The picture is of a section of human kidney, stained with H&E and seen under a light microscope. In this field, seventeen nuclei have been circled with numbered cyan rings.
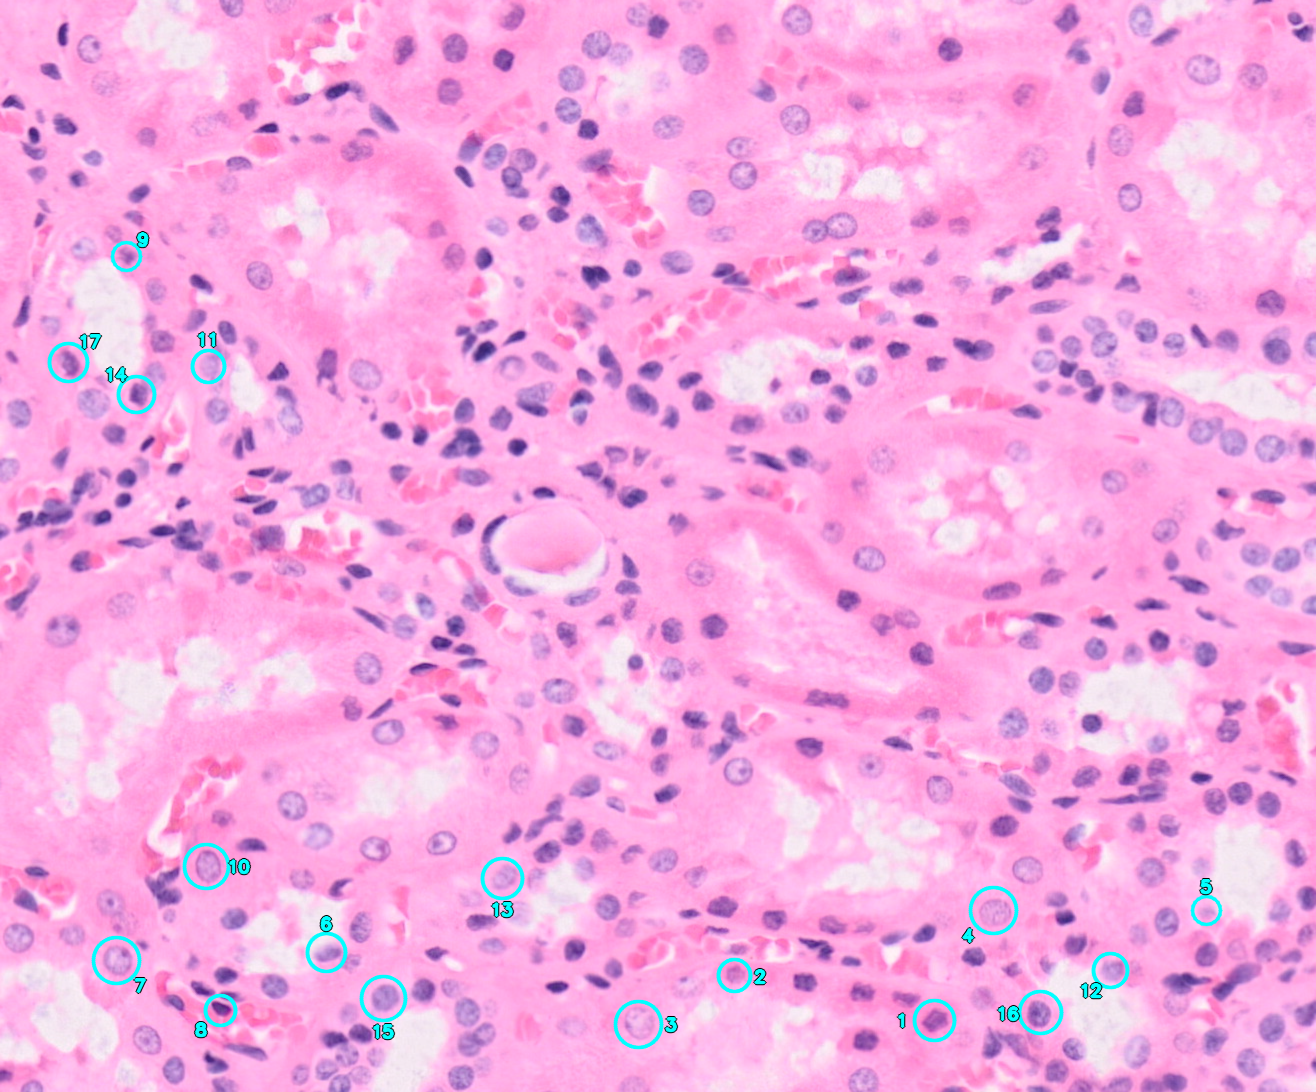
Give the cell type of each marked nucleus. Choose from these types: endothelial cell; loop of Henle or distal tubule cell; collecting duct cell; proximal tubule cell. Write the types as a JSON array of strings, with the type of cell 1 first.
["proximal tubule cell", "proximal tubule cell", "proximal tubule cell", "proximal tubule cell", "loop of Henle or distal tubule cell", "loop of Henle or distal tubule cell", "proximal tubule cell", "endothelial cell", "loop of Henle or distal tubule cell", "proximal tubule cell", "collecting duct cell", "loop of Henle or distal tubule cell", "loop of Henle or distal tubule cell", "loop of Henle or distal tubule cell", "collecting duct cell", "loop of Henle or distal tubule cell", "loop of Henle or distal tubule cell"]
